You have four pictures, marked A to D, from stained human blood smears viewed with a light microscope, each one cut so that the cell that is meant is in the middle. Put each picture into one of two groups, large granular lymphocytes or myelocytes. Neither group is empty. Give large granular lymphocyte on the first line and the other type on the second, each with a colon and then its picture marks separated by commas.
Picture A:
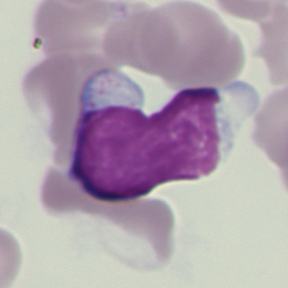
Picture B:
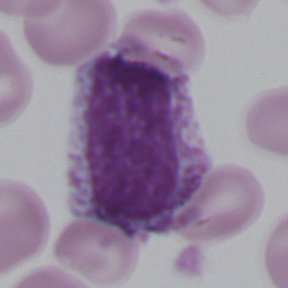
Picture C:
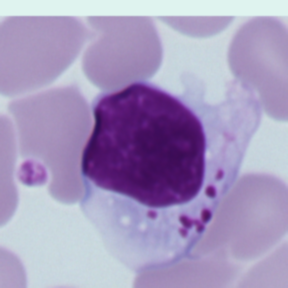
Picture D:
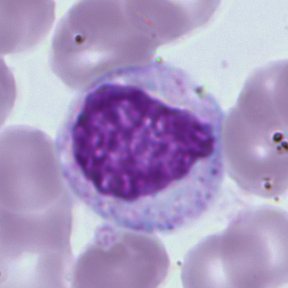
large granular lymphocyte: A, C
myelocyte: B, D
